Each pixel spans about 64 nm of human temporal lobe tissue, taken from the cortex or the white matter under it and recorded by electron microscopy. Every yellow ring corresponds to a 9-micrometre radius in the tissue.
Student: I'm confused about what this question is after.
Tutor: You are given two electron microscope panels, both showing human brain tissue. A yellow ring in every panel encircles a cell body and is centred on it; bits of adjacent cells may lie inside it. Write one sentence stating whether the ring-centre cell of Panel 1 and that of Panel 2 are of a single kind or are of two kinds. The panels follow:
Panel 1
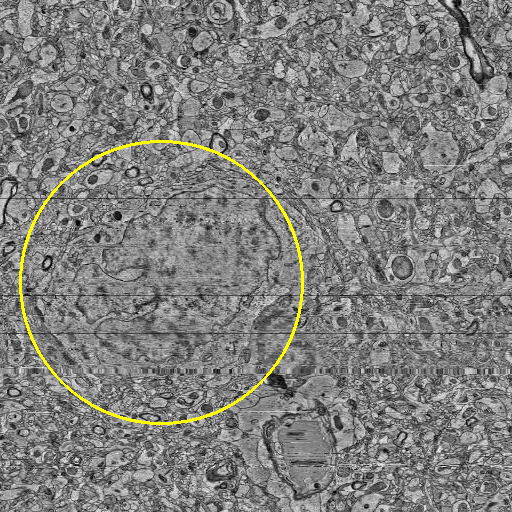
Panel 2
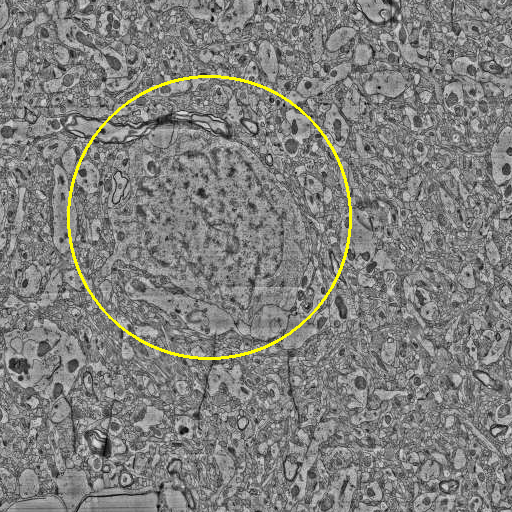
Here, the Panel 1 ring-centre cell and the Panel 2 ring-centre cell are of a single kind.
